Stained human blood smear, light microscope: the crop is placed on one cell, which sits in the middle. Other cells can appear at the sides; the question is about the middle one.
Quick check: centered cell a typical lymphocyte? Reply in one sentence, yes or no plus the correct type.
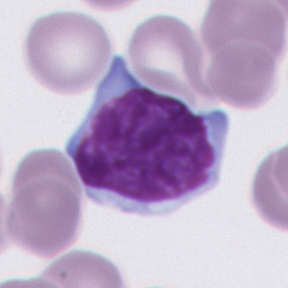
Yes, it is a typical lymphocyte that is seen at the centre of the crop.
